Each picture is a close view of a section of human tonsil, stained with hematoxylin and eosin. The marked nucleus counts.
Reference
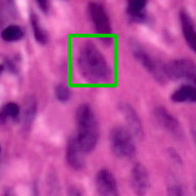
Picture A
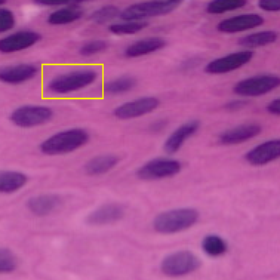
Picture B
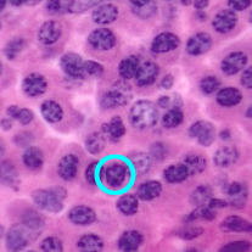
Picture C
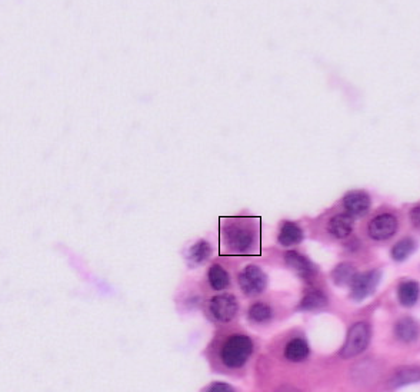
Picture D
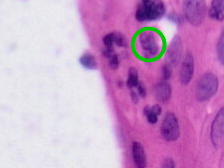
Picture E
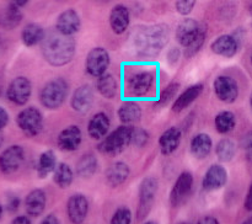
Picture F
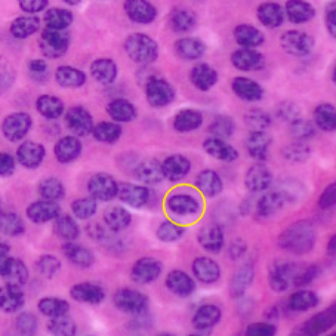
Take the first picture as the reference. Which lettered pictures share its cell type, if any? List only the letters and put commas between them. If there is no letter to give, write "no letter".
A, D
